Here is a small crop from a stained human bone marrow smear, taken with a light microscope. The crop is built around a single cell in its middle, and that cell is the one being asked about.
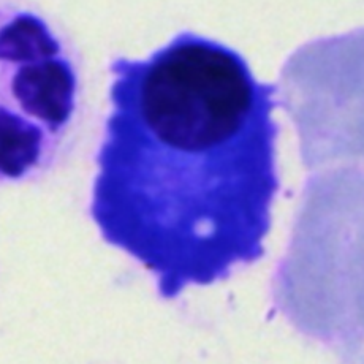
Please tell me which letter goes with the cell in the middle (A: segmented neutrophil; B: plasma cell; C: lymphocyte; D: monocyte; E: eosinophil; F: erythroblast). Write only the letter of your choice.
B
